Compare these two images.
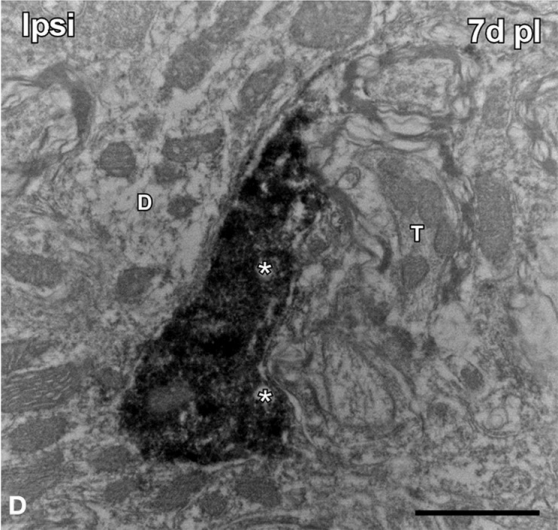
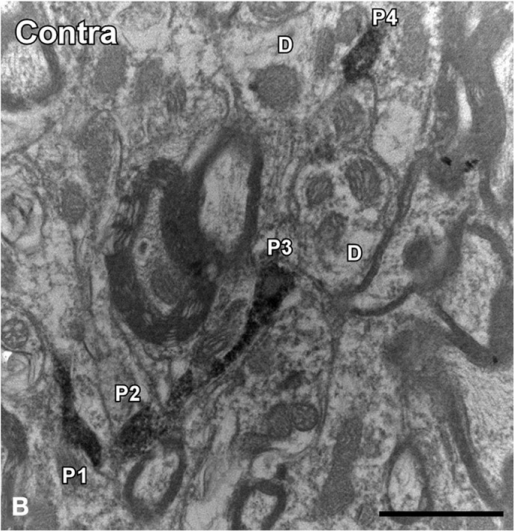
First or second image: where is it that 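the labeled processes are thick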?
the first image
